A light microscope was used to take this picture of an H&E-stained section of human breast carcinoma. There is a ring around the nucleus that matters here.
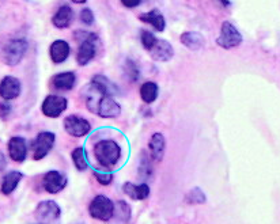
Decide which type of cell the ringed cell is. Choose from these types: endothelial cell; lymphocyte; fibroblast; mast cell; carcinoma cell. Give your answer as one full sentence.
Cytologically, the ringed cell is to be regarded as a lymphocyte.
